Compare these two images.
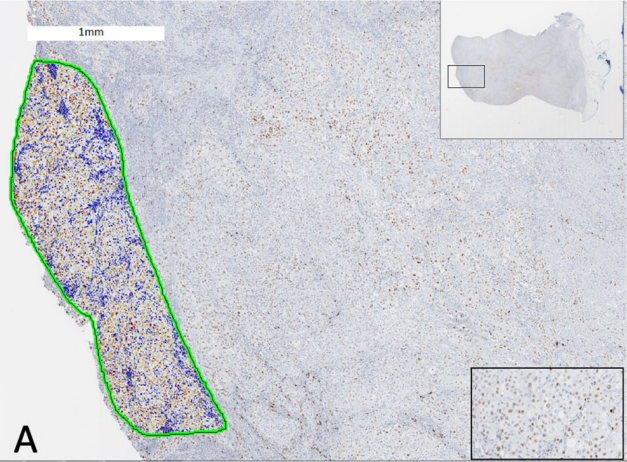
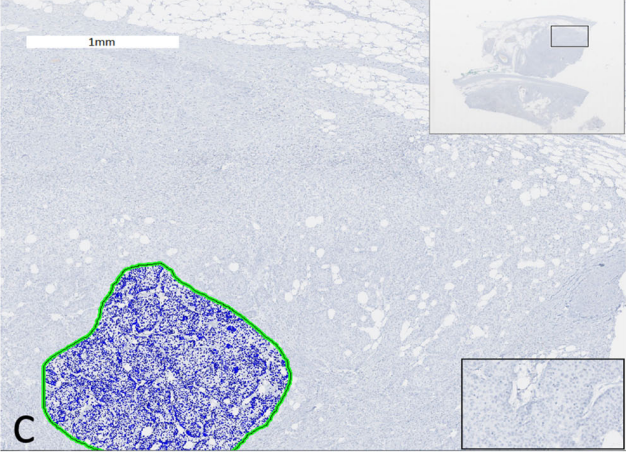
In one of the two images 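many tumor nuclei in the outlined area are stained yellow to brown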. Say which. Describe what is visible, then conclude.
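The first image. Second image: the outlined area is marked entirely in blue. First image: the outlined area is speckled with orange and yellow among the blue. First image: the inset shows many brown nuclei.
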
